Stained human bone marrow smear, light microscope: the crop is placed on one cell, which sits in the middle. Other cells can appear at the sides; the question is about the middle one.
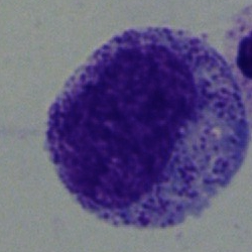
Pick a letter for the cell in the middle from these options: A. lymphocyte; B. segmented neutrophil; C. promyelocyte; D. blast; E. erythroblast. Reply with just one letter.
C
